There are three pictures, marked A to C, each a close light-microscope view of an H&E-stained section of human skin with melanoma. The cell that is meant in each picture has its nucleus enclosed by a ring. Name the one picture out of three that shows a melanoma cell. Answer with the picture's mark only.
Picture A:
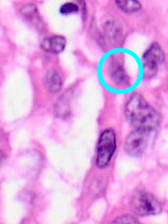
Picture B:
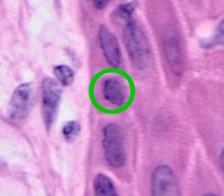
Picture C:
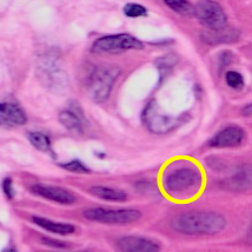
A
